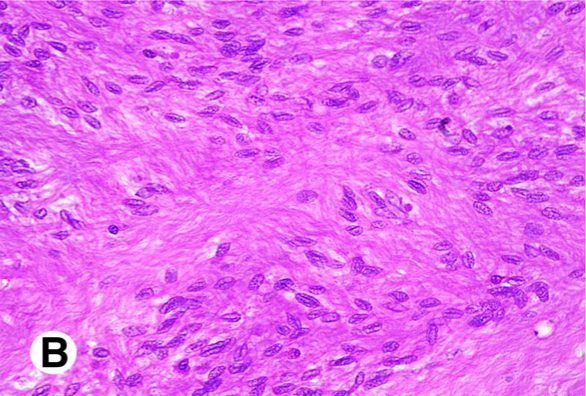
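At high power, bland spindle to oval cells lie scattered in a pale pink, finely fibrillar matrix. Their nuclei are oval with fine chromatin, and some show a longitudinal groove that gives a coffee-bean look; the cytoplasm is indistinct and merges with the surrounding fibrils.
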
